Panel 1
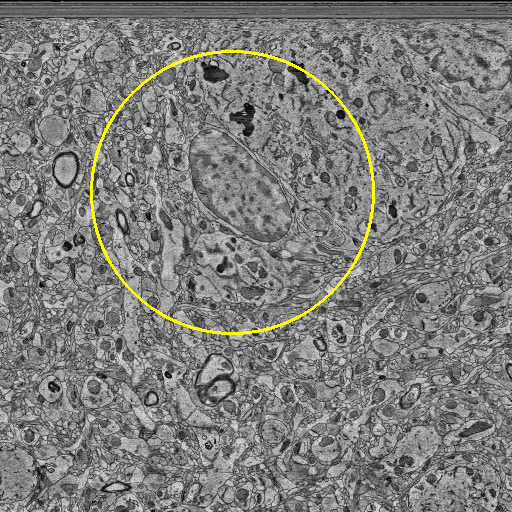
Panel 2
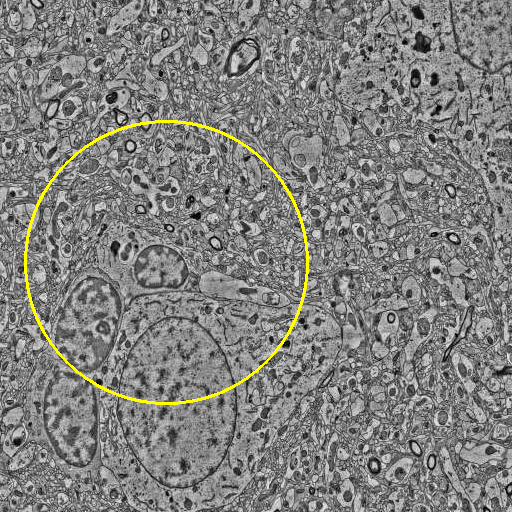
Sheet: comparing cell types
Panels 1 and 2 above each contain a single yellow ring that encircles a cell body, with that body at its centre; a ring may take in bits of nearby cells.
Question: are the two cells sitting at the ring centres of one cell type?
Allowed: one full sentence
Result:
Yes, the ring-centre cells in Panel 1 and Panel 2 are of one type.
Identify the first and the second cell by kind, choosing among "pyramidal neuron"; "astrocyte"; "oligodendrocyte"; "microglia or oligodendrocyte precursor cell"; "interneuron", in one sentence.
Each of the two cells is a microglial cell or oligodendrocyte precursor cell.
